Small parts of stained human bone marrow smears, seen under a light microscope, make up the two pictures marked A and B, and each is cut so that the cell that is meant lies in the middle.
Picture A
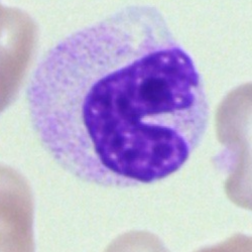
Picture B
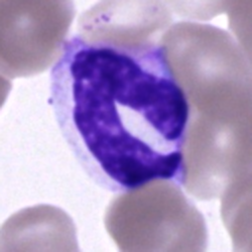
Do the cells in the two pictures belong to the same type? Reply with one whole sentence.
Yes; the cells in both pictures are band neutrophils.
